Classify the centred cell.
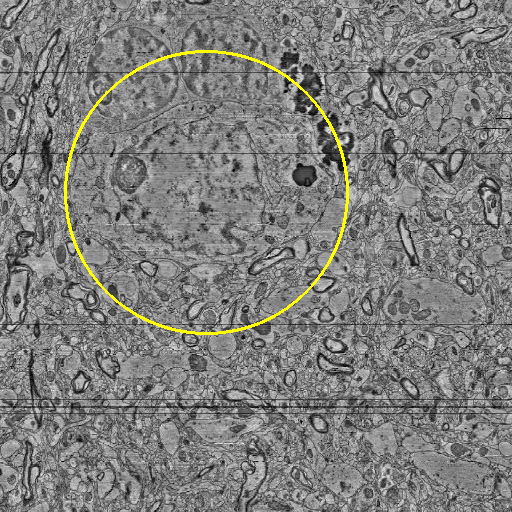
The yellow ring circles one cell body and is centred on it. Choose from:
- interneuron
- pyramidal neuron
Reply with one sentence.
The ring is centred on an interneuron.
